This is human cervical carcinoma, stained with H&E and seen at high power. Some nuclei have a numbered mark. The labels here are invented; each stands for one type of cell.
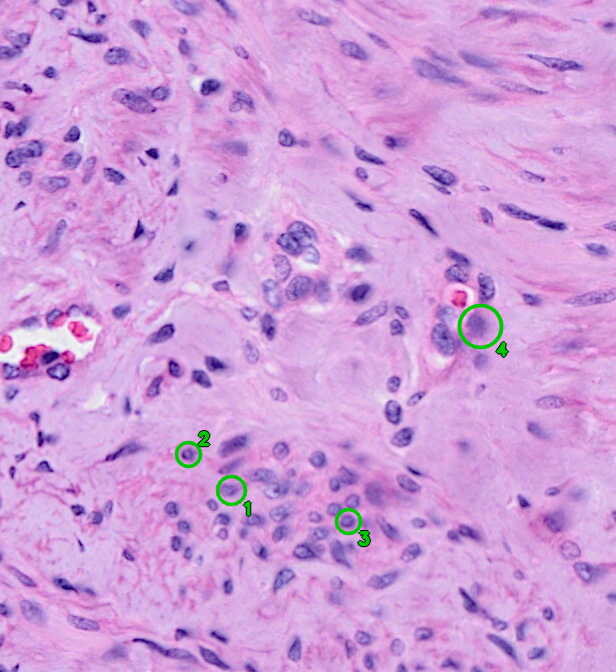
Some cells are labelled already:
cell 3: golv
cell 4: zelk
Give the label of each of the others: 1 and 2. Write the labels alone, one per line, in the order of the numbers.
golv
golv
